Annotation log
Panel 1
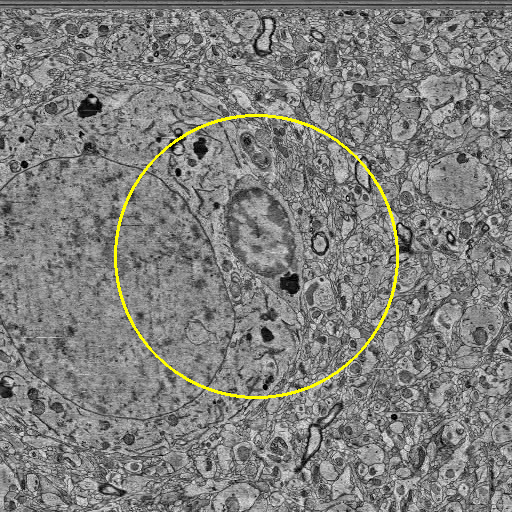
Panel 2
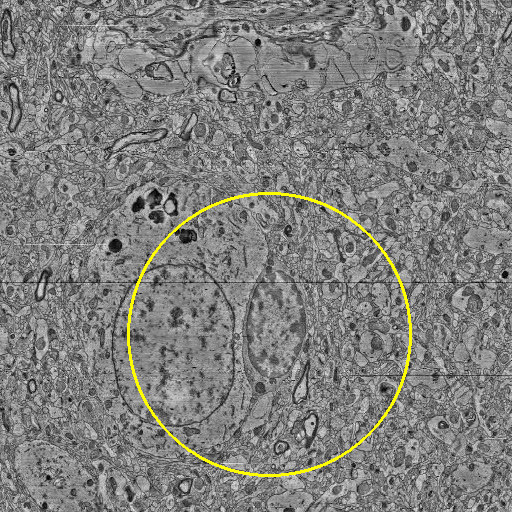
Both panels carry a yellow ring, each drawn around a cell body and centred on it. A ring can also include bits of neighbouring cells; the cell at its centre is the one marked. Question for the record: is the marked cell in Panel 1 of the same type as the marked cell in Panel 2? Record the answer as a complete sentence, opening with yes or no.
Yes, the marked cells in Panel 1 and Panel 2 are of the same type.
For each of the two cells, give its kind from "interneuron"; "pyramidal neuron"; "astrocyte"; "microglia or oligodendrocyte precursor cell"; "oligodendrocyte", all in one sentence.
In the first picture and in the second, the ring is centred on an oligodendrocyte.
